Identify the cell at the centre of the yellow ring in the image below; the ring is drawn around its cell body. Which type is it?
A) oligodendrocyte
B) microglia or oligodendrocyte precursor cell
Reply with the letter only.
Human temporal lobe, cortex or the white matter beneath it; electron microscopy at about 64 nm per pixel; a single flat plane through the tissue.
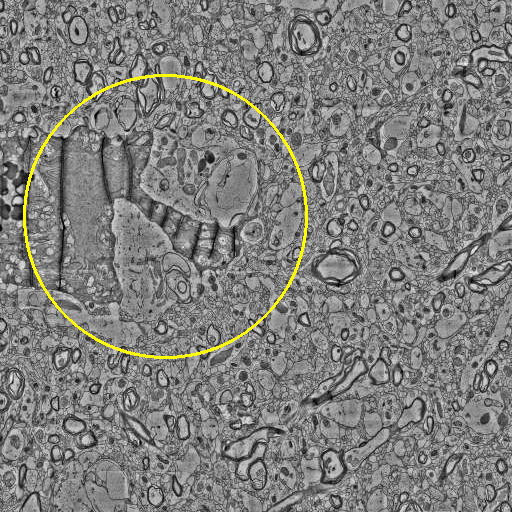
B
